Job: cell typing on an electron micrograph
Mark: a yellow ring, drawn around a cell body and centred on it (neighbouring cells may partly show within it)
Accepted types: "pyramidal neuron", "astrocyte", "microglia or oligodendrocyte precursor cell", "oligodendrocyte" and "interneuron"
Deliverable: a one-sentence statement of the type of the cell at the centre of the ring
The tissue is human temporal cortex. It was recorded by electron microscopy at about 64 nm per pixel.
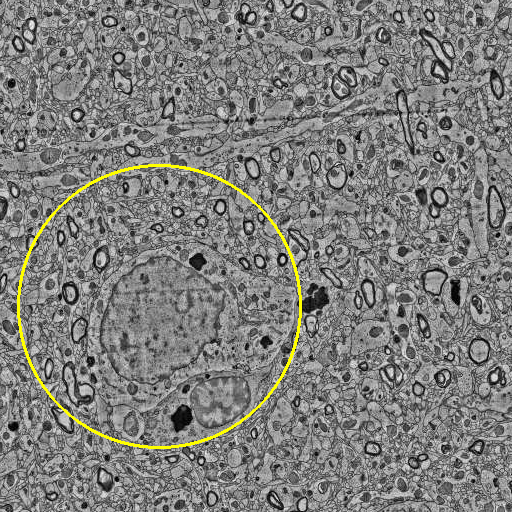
The centred cell body is that of an interneuron.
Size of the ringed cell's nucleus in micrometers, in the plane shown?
Approximately 8 micrometres long and 7 micrometres wide, in this plane.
